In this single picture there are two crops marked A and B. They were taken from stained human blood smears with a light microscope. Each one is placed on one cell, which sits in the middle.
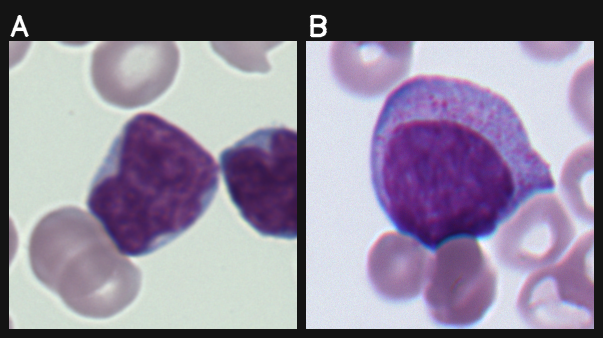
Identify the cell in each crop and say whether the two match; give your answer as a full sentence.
No, crop A and crop B contain, respectively, a myeloblast and an atypical promyelocyte.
